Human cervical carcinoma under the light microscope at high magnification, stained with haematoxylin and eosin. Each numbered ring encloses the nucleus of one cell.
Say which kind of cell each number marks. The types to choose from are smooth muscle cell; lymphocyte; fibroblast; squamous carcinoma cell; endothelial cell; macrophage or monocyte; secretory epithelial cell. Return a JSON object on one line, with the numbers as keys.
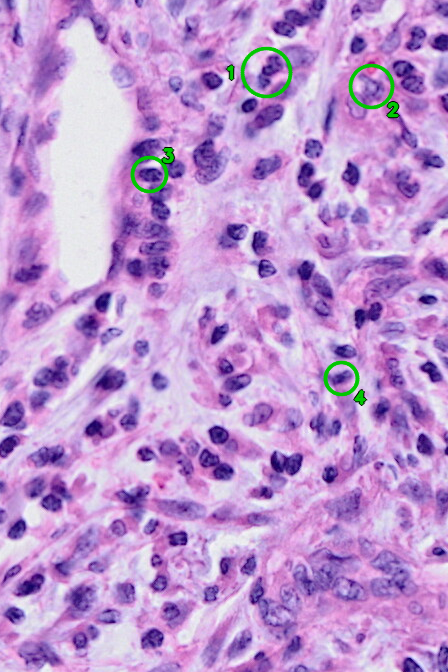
{"1": "lymphocyte", "2": "endothelial cell", "3": "lymphocyte", "4": "lymphocyte"}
